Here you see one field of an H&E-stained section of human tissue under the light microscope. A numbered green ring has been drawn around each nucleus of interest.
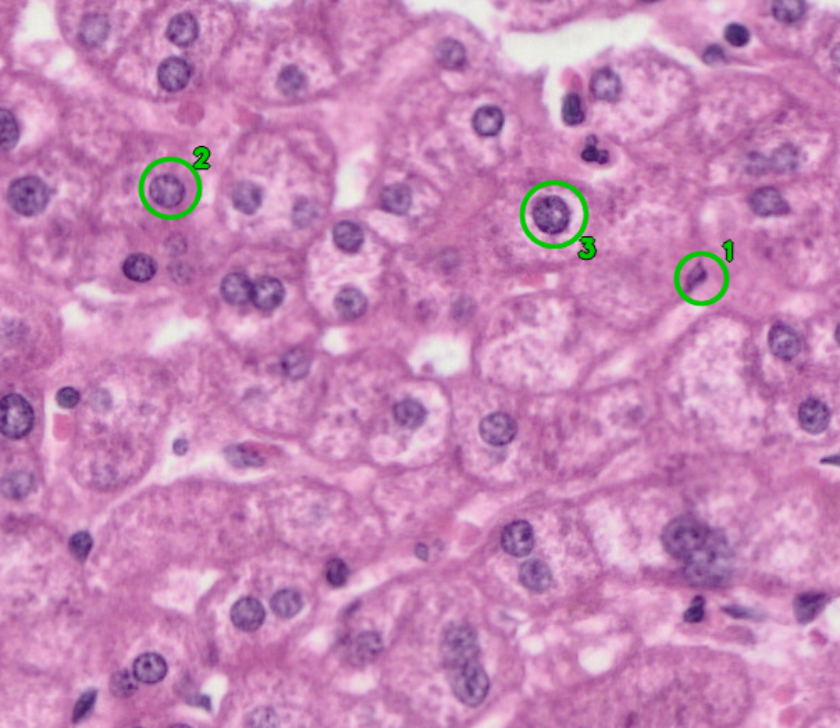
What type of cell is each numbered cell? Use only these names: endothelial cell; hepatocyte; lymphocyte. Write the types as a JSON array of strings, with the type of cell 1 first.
["endothelial cell", "hepatocyte", "hepatocyte"]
